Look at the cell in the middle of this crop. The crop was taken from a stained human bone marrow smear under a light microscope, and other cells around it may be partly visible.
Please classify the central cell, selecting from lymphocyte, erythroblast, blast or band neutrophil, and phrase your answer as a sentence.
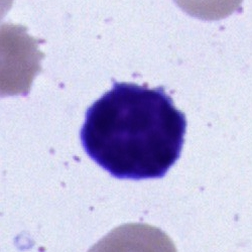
This crop has a lymphocyte at its centre.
